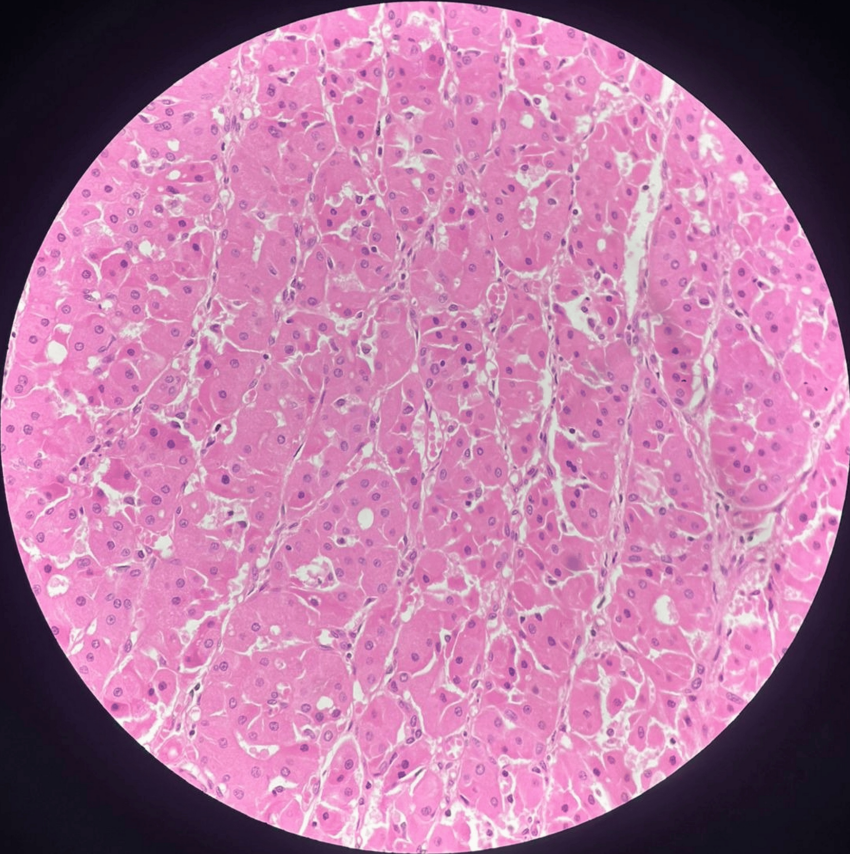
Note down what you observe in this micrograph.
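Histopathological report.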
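Sheets and nests of large polygonal oncocytic cells with abundant pink, finely granular cytoplasm and small, round, uniform nuclei. The nests are separated by thin, delicate strands of stroma and small clefts.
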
